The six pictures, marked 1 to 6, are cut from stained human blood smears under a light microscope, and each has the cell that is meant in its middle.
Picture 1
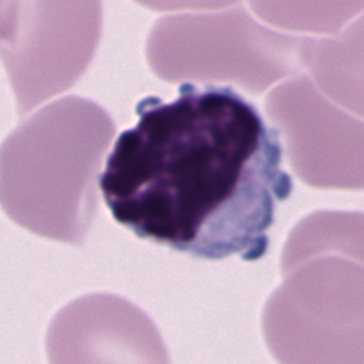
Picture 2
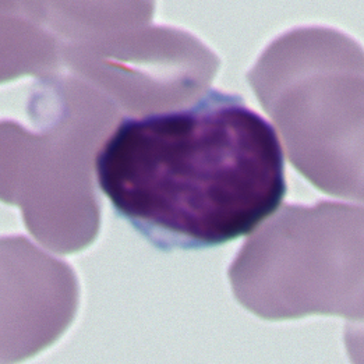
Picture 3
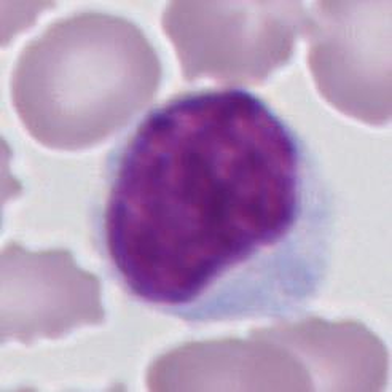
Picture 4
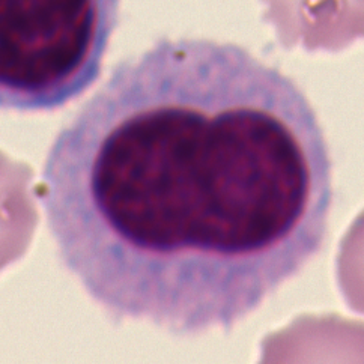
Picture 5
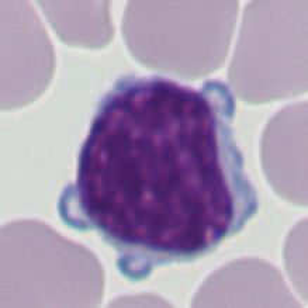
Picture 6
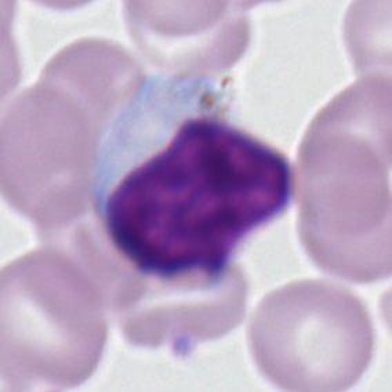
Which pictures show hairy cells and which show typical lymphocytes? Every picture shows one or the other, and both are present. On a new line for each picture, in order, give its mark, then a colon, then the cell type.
1: typical lymphocyte
2: typical lymphocyte
3: hairy cell
4: hairy cell
5: typical lymphocyte
6: typical lymphocyte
